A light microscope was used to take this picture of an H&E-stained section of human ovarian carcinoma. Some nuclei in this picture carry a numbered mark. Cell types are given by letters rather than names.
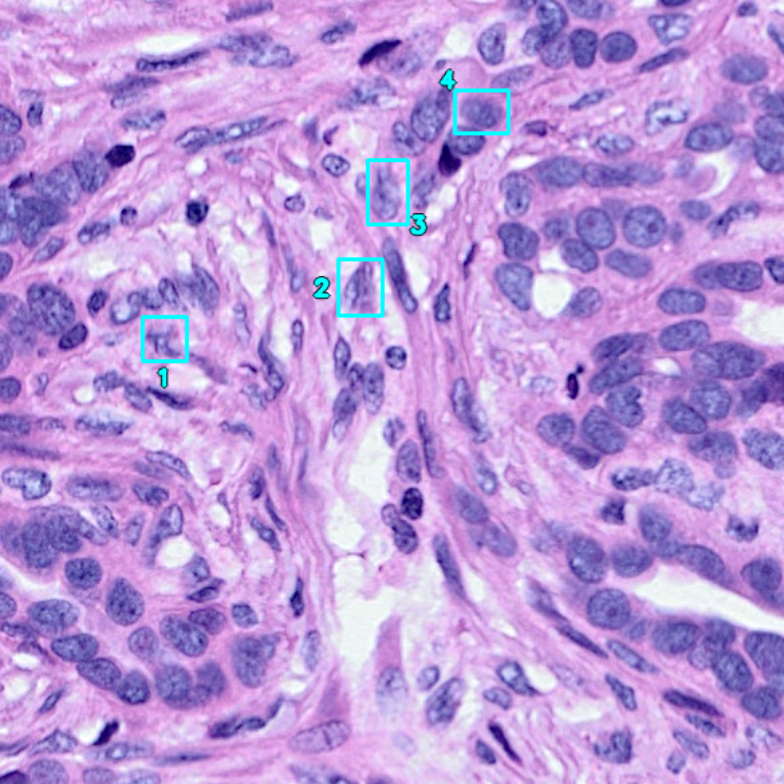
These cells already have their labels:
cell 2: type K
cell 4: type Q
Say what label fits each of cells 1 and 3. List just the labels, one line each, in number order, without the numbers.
type K
type K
